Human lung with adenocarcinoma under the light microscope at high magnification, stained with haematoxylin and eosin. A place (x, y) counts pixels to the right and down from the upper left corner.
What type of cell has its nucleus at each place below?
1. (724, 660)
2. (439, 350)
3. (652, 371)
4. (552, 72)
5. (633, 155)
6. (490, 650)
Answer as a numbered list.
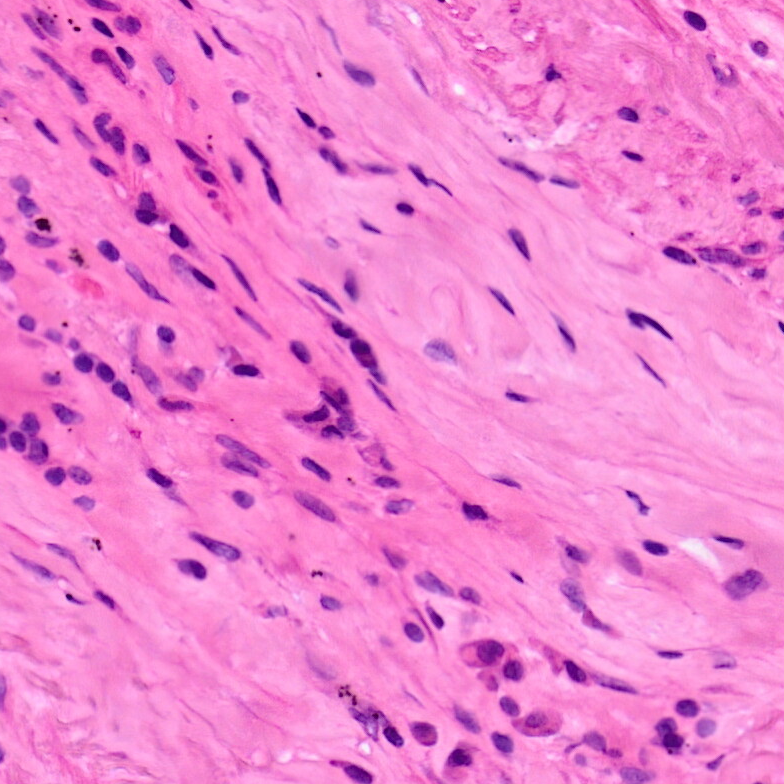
1. fibroblast
2. fibroblast
3. fibroblast
4. smooth muscle cell or pericyte
5. smooth muscle cell or pericyte
6. plasma cell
